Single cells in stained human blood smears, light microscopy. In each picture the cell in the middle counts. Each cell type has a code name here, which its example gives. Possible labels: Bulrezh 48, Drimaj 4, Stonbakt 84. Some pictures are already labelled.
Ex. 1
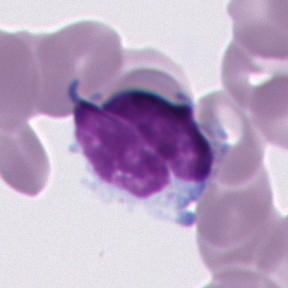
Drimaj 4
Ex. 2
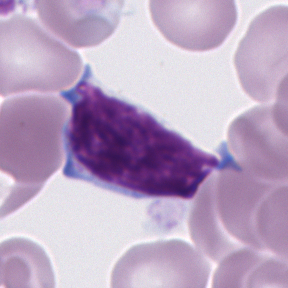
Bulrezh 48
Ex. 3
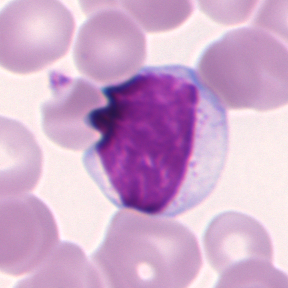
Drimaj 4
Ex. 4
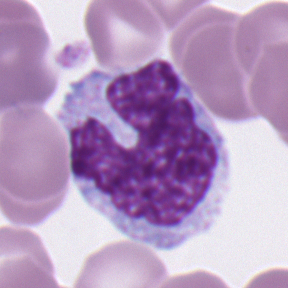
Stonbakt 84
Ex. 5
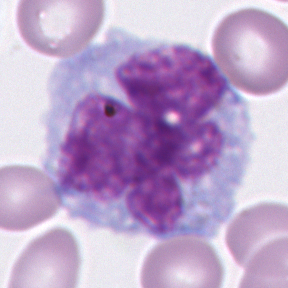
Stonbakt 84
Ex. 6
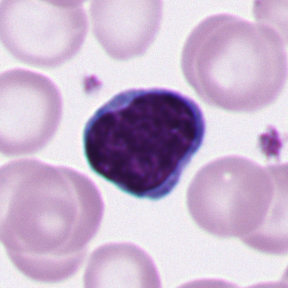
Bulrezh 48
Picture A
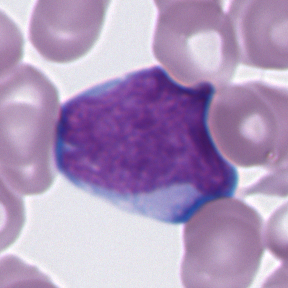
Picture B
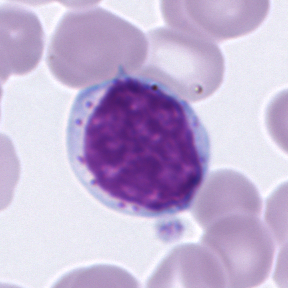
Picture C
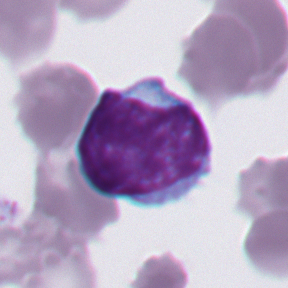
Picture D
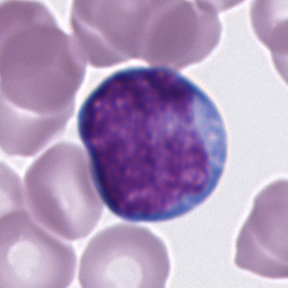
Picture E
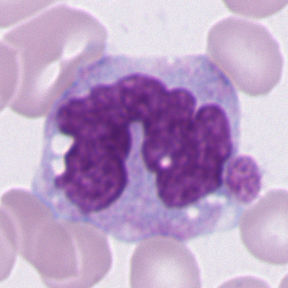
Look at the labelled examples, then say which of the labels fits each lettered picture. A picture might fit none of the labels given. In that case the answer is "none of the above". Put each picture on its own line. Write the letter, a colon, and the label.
A: none of the above
B: Drimaj 4
C: Bulrezh 48
D: none of the above
E: Stonbakt 84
